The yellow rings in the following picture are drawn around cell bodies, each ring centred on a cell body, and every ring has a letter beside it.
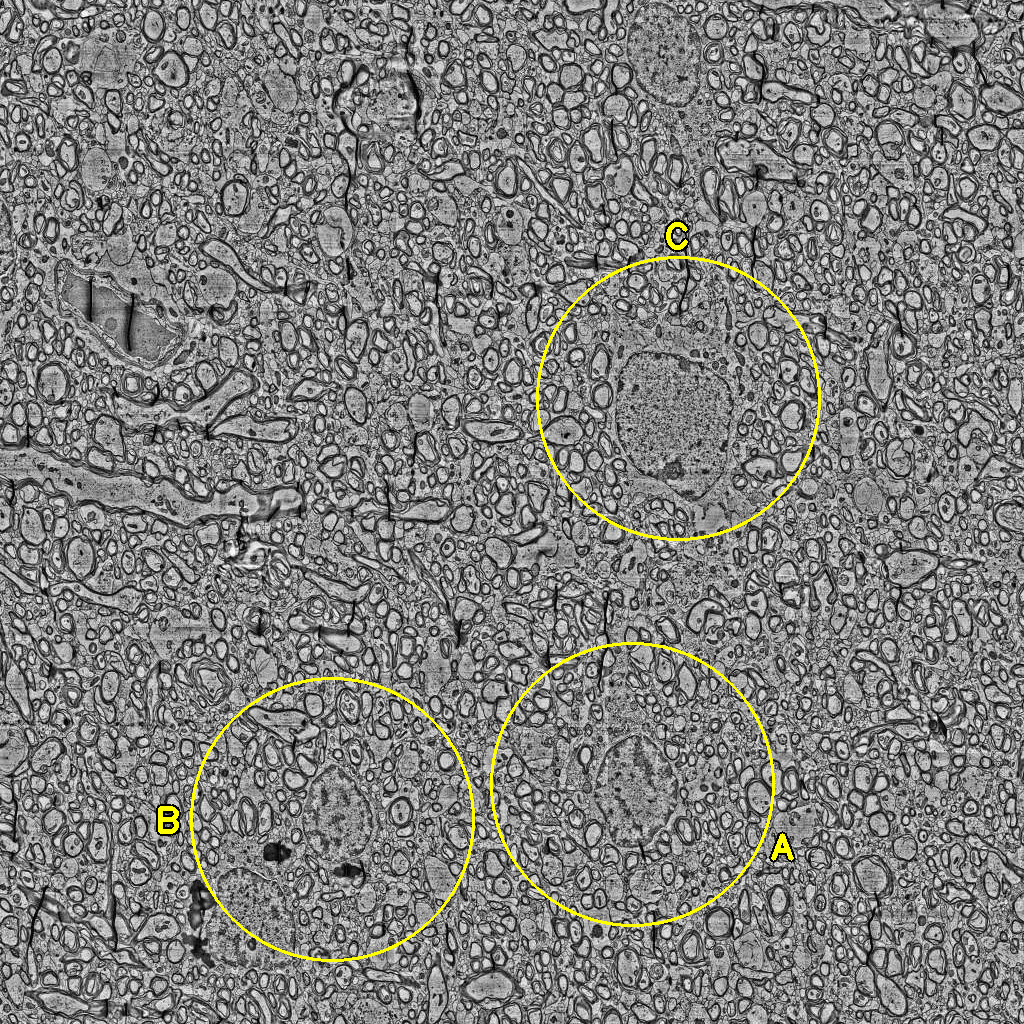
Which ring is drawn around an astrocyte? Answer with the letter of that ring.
C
